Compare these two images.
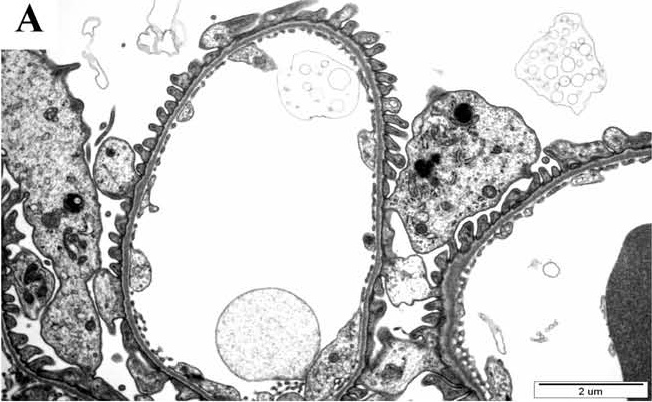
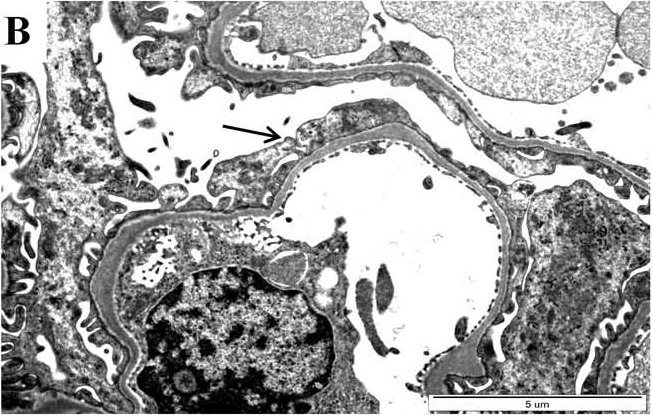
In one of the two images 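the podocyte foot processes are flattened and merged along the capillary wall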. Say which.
the second image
